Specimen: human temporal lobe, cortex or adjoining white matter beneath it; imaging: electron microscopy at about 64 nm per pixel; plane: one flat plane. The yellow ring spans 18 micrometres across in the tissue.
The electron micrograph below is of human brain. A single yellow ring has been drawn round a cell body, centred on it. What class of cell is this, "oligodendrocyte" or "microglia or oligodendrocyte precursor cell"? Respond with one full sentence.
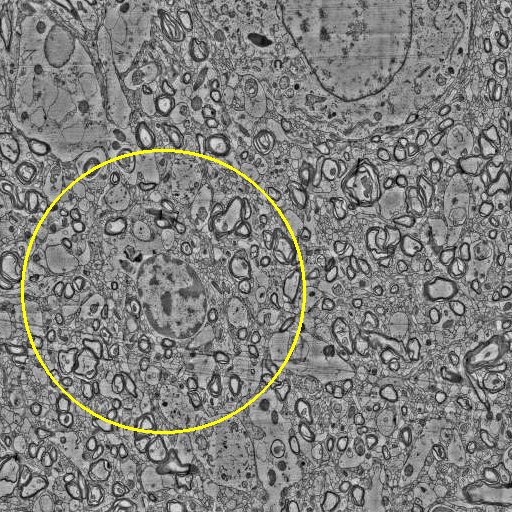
In the micrograph, the cell centred inside the yellow ring is a microglial cell or oligodendrocyte precursor cell.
